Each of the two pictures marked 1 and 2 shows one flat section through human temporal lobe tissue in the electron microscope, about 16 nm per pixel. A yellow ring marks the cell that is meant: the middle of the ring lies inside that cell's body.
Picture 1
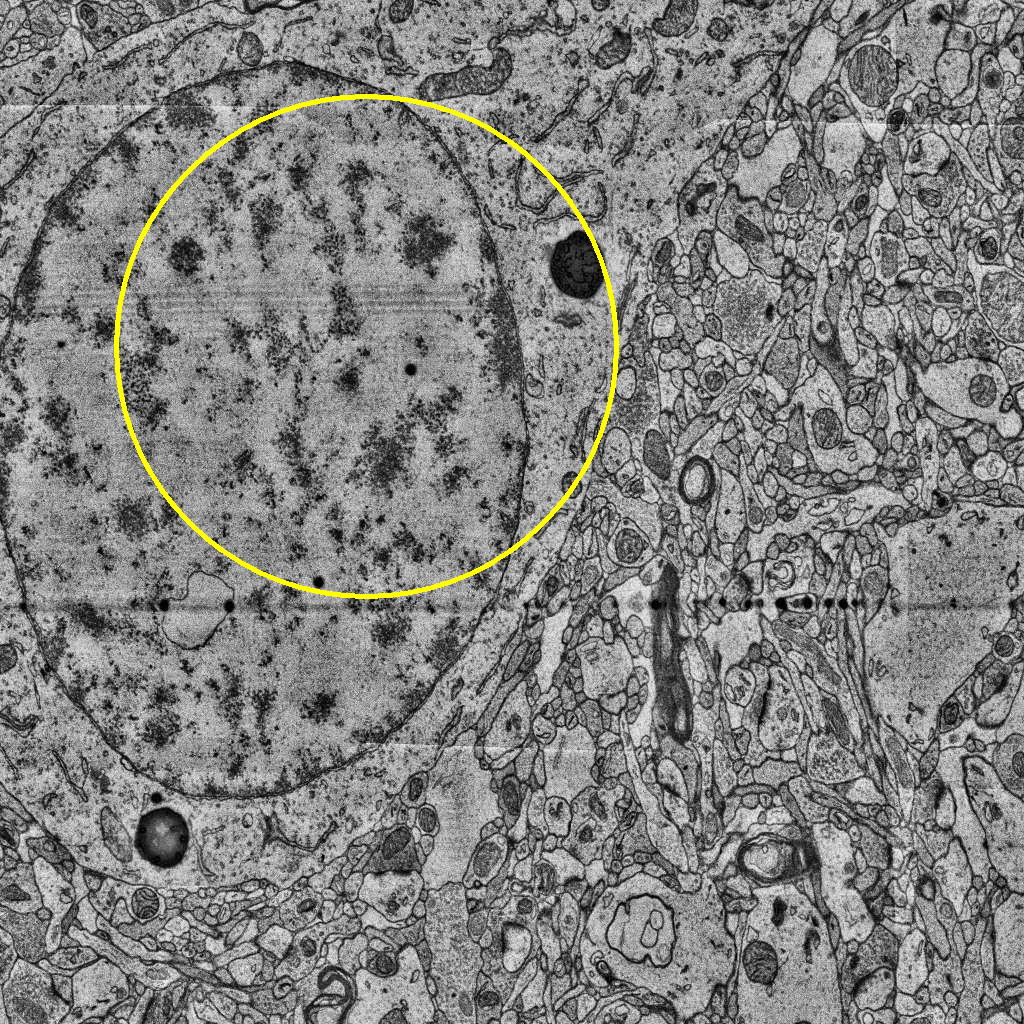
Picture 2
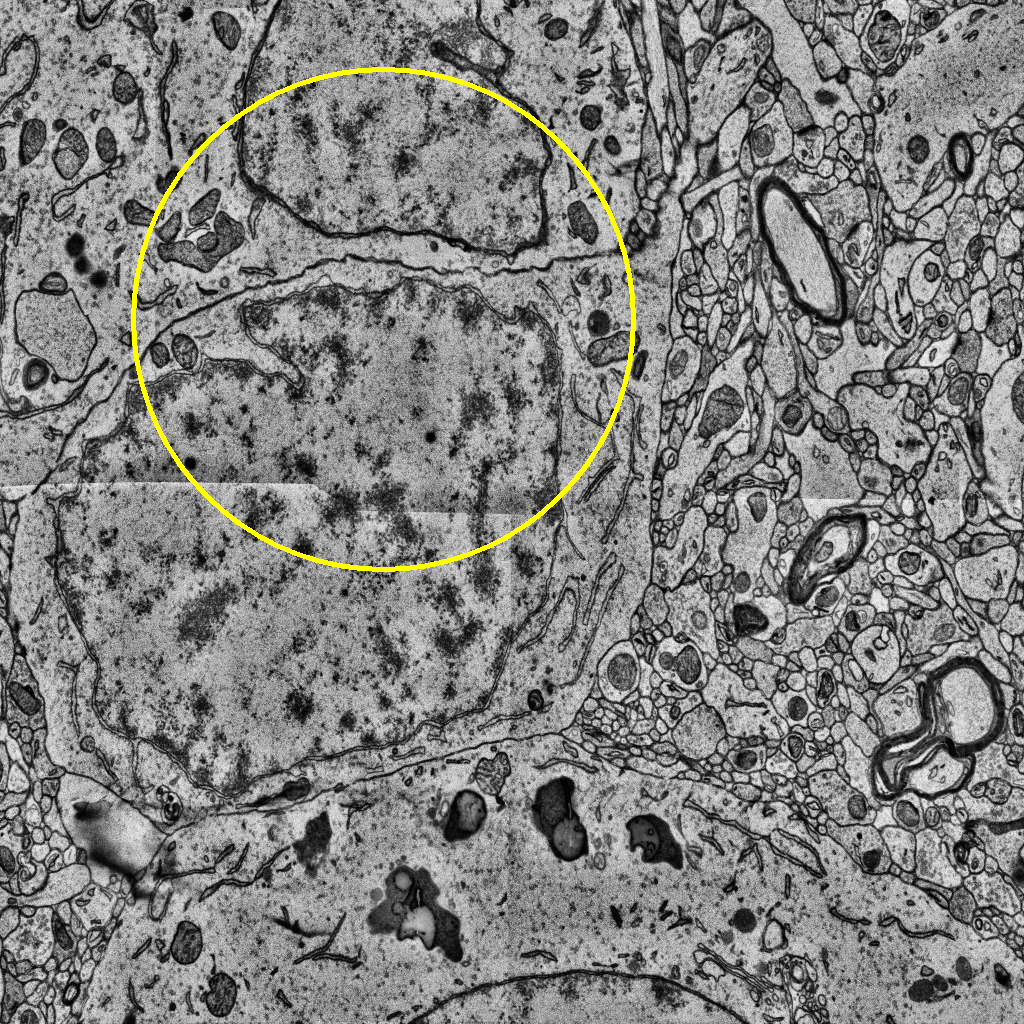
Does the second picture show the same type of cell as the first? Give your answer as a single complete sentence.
No; the cell in picture 1 is a pyramidal neuron, while the one in picture 2 is an interneuron.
